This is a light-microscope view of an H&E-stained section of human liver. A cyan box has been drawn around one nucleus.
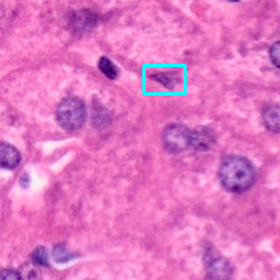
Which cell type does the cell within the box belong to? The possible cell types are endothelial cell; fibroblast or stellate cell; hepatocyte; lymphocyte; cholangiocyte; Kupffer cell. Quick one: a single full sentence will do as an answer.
Students should answer that the cell within the box is an endothelial cell.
